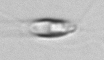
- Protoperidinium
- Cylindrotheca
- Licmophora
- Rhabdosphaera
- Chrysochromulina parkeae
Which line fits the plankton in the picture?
Chrysochromulina parkeae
